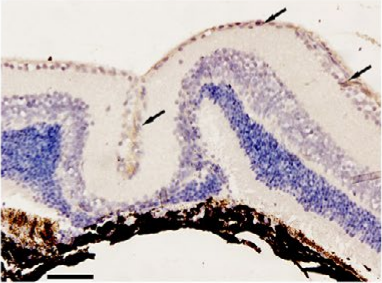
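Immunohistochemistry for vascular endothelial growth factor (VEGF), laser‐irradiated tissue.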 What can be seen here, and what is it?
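The layered retina is strongly folded: the dense blue band of closely packed nuclei and the paler, looser band of nuclei above it are thrown into an upward fold, with a deep cleft dipping down between folds. At the bottom the black pigmented layer and choroid are irregular and thickened. Scattered brown-stained cells lie along the inner surface of the retina and within the cleft, while most of the retina takes only the blue counterstain. The regular flat layering seen in normal retina is lost here.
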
